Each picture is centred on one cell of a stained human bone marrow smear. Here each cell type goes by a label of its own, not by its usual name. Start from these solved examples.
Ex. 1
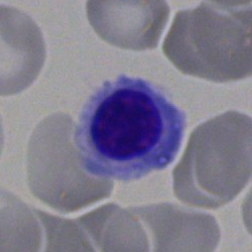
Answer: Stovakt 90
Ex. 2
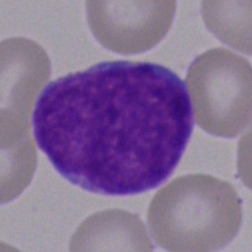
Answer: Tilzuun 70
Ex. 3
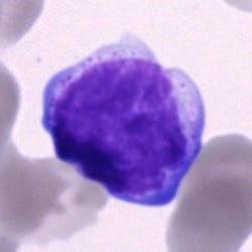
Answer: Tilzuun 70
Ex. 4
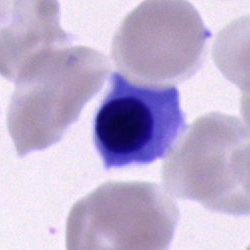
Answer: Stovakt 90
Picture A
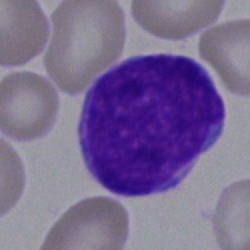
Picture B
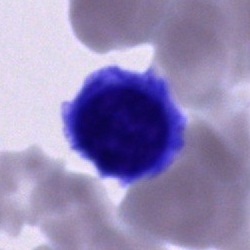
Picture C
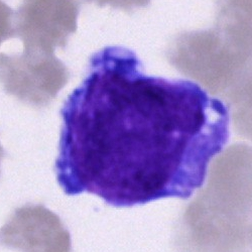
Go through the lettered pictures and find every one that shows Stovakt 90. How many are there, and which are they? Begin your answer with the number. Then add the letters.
1: B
